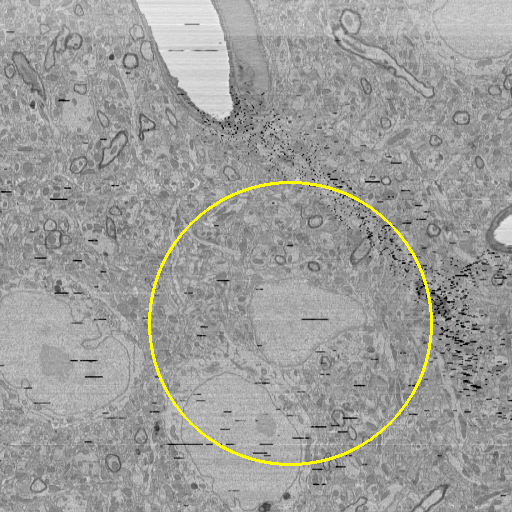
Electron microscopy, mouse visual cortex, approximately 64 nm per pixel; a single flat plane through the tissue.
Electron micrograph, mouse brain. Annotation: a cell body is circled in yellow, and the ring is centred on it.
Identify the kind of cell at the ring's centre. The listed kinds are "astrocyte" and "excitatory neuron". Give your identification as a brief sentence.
The circled cell body is that of an astrocyte.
